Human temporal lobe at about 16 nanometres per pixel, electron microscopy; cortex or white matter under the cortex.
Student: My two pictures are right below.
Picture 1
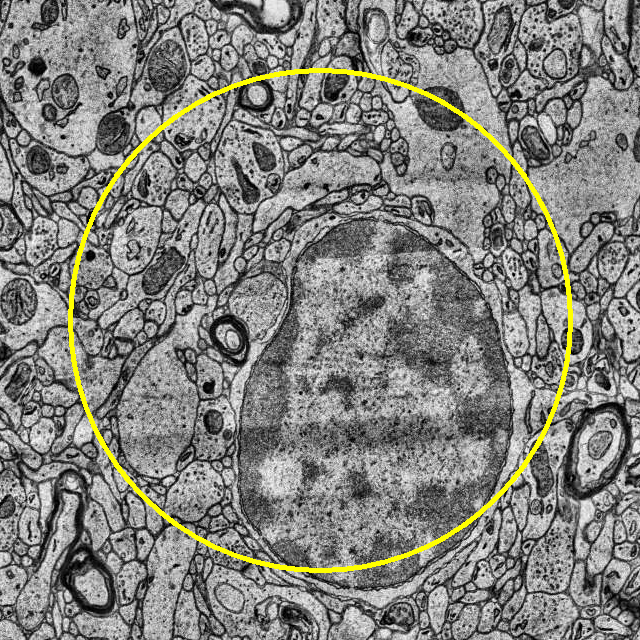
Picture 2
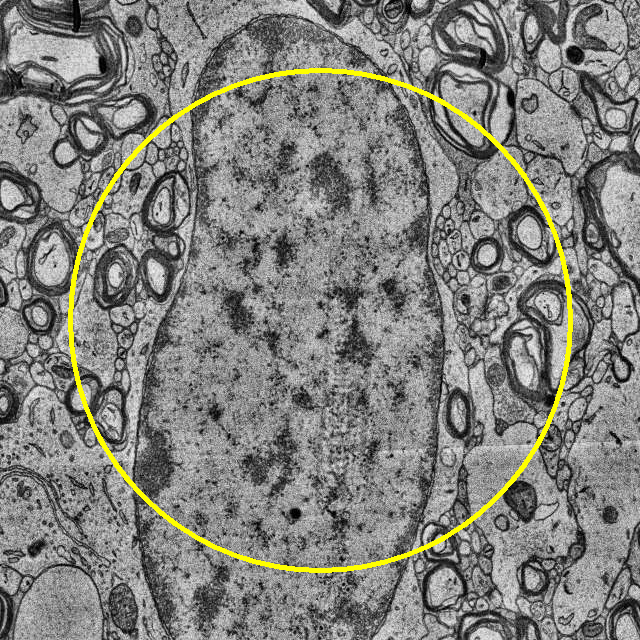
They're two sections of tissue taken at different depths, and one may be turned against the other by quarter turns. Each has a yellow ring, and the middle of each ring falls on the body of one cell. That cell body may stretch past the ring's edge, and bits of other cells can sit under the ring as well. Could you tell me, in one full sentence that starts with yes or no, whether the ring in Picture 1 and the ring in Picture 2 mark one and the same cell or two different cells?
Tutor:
No, these two rings belong to two distinct cells.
